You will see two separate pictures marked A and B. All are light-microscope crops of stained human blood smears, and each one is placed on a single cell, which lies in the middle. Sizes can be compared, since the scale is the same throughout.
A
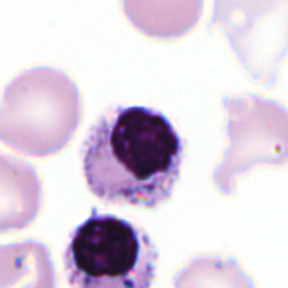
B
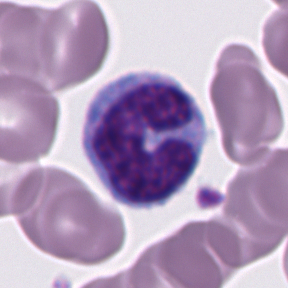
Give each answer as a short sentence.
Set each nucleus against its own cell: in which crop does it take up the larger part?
The nucleus fills more of the cell in crop B than in crop A.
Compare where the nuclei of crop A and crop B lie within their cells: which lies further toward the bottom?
In crop B the nucleus is shifted more toward the bottom.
